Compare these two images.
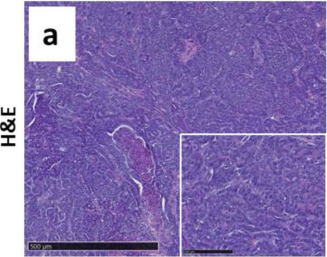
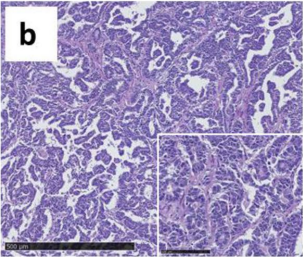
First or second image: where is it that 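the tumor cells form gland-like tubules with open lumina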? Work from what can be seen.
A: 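Second image: many small tubules with open white lumina separated by pink stroma. First image: continuous sheets of tumor cells with hardly any lumina.
The second image.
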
